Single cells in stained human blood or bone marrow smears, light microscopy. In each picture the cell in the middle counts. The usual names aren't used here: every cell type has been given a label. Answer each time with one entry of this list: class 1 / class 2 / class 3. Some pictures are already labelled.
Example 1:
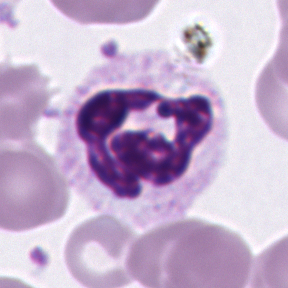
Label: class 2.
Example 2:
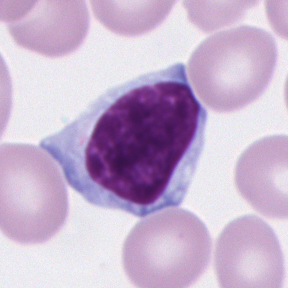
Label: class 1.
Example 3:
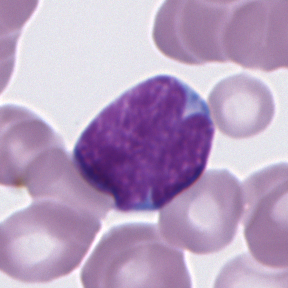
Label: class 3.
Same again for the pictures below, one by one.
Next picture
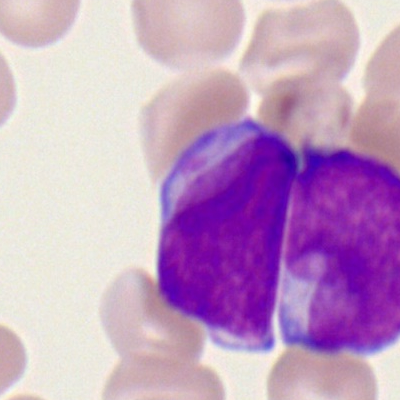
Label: class 3.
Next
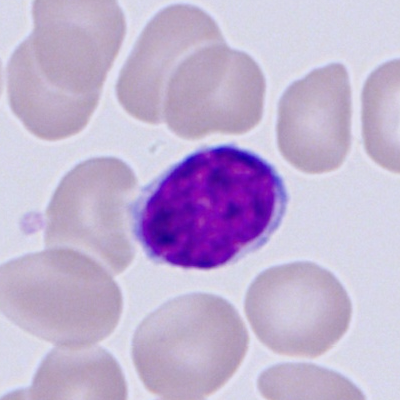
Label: class 1.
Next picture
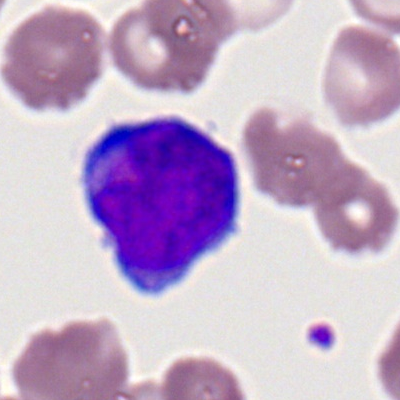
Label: class 3.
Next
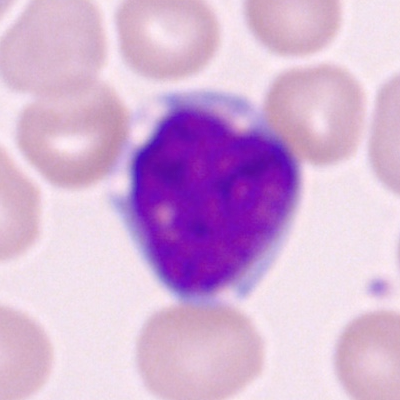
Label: class 3.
